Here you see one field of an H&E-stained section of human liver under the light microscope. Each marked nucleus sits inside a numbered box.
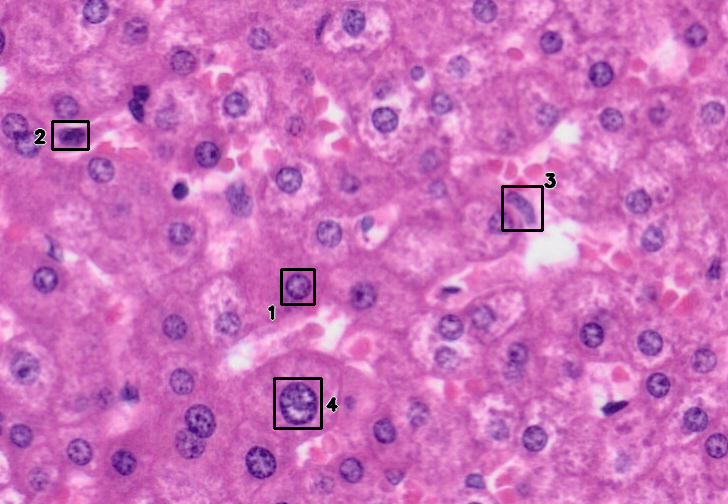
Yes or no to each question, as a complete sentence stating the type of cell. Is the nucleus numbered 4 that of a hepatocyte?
Yes, the cell with its nucleus marked 4 is a hepatocyte.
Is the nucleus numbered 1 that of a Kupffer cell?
No, with respect, cell 1 is a hepatocyte rather than a Kupffer cell.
